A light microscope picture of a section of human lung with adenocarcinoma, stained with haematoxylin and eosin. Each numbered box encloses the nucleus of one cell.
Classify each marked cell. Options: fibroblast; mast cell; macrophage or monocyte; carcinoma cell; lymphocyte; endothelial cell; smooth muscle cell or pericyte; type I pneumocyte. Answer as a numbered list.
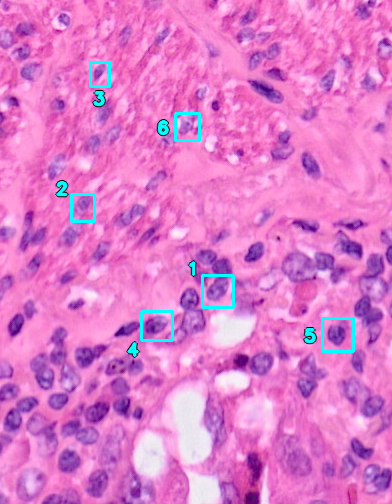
1. lymphocyte
2. smooth muscle cell or pericyte
3. smooth muscle cell or pericyte
4. lymphocyte
5. lymphocyte
6. smooth muscle cell or pericyte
